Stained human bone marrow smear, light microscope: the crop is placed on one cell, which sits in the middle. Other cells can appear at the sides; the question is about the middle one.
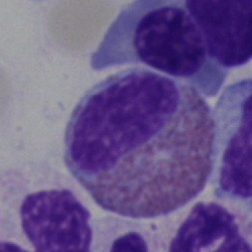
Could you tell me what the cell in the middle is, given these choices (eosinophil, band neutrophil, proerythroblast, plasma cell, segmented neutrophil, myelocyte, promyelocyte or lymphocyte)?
eosinophil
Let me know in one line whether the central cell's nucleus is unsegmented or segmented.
A single compact nucleus is present, shaped round, oval or like a kidney.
